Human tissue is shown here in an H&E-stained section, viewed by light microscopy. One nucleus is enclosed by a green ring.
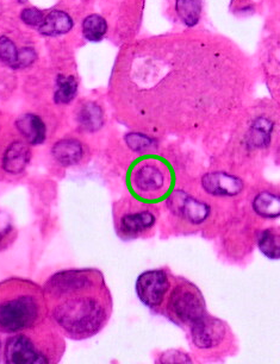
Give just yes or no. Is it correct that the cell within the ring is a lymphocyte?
no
